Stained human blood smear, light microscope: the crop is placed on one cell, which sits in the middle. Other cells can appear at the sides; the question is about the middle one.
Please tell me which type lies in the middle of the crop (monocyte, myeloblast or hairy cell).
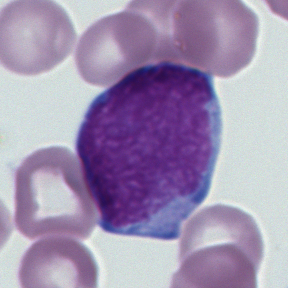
myeloblast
